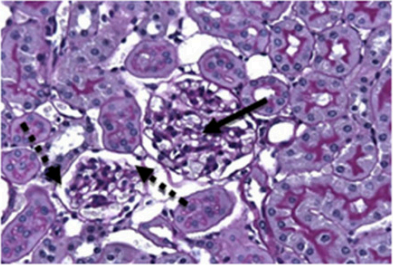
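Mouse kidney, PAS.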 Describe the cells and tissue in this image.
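This is renal cortex with two glomeruli surrounded by cross-sectioned tubules. Each glomerulus is a round tuft of capillary loops with many small dark nuclei, enclosed by a thin capsule. A narrow clear space separates the tuft from the capsule. The surrounding tubules are lined by cuboidal cells with round nuclei and pale purple cytoplasm, and their basement membranes stand out as thin magenta outlines. The tissue is orderly with no crowding of inflammatory cells.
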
